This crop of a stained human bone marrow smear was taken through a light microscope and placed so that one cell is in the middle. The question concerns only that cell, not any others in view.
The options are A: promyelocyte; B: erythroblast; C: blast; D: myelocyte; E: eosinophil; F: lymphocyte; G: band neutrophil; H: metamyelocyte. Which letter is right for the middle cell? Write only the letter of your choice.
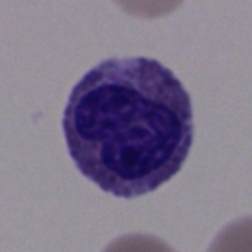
E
